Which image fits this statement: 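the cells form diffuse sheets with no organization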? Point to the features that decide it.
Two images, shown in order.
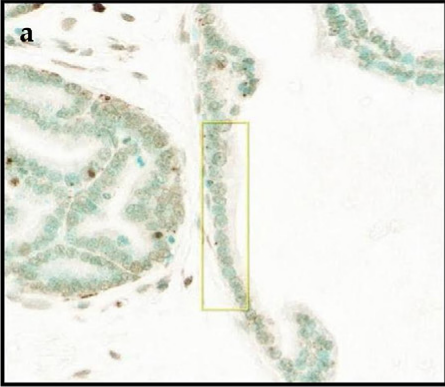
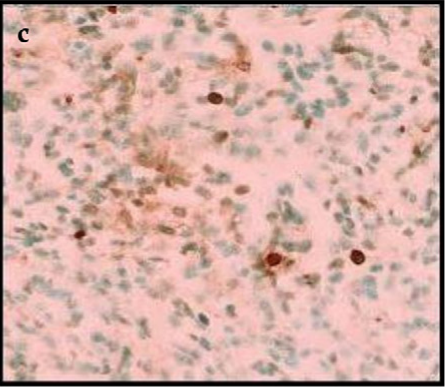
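Second image: cells fill the whole field as a disorganized sheet with no glands. First image: cells line glands as an orderly single layer with open lumens.
Answer: the second image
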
